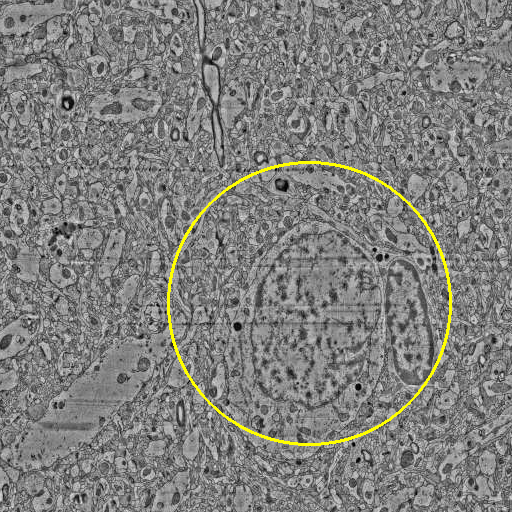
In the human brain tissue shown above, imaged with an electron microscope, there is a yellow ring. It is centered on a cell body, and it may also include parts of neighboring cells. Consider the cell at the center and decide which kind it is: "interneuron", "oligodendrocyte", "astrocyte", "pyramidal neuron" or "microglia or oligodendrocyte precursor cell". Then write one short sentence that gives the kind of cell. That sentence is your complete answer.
This centered cell body is that of an interneuron.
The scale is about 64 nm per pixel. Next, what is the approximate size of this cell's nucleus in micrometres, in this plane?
In this plane, about 11 micrometres in length and 8 in width.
